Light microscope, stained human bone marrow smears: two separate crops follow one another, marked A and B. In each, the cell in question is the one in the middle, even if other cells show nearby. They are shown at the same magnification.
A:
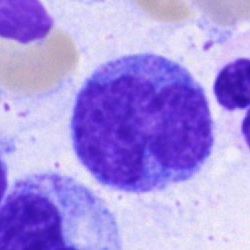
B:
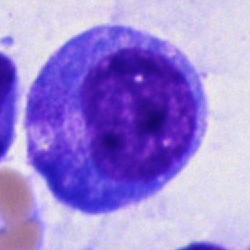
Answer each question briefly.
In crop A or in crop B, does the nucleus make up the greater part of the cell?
A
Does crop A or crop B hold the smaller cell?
A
